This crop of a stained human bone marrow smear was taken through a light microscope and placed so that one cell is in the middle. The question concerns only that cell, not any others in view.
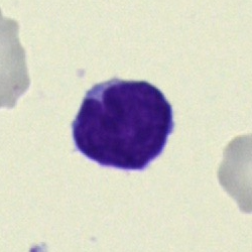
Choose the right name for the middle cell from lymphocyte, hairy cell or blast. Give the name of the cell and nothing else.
lymphocyte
